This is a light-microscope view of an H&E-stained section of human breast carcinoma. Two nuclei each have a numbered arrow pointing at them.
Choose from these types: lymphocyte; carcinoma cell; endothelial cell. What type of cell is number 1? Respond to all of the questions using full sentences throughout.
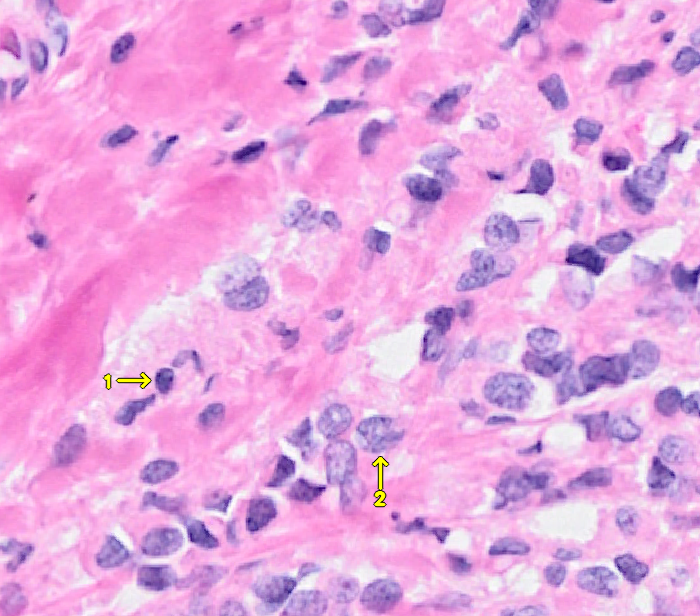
Here, the cell given the number 1 is a lymphocyte.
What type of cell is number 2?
Cell number 2 in this section is a carcinoma cell.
